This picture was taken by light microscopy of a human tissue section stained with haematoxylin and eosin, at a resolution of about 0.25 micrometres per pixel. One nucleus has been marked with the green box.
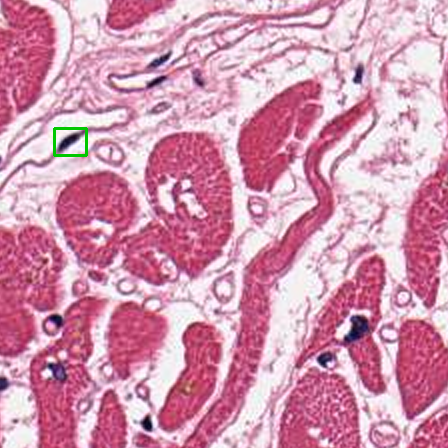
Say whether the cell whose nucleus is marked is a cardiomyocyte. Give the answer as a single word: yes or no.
no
